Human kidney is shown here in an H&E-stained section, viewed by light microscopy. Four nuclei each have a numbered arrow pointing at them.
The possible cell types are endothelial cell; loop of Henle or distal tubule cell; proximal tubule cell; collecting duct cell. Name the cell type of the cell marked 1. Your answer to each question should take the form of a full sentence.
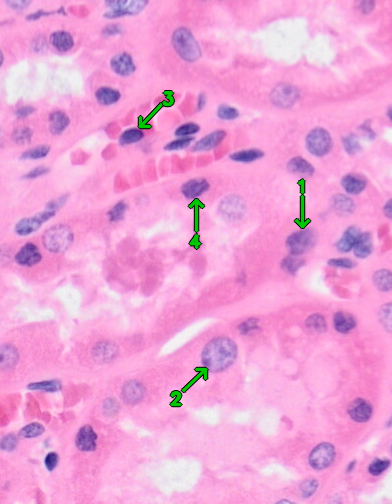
The cell given label 1 is a proximal tubule cell.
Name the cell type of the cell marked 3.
The label 3 in this section denotes an endothelial cell.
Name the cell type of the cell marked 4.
The cell referred to as 4 is a proximal tubule cell.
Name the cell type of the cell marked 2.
The cell that bears the number 2 is a proximal tubule cell.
